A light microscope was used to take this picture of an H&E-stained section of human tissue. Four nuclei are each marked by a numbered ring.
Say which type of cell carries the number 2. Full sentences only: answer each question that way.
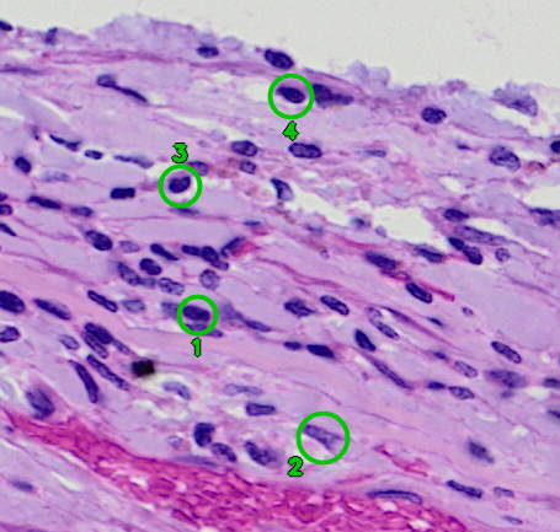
The cell numbered 2 represents a fibroblast.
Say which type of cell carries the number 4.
The cell assigned the number 4 is a lymphocyte.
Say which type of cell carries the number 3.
The cell indicated by marker 3 is a lymphocyte in this section.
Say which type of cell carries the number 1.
Identified as a lymphocyte is the cell bearing the number 1.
